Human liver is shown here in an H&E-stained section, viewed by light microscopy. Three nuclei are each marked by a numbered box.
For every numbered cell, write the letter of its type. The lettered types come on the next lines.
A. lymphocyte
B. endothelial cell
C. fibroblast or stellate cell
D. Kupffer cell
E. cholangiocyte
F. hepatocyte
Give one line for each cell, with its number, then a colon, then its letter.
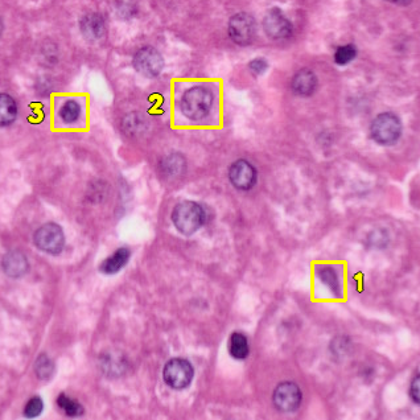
1: D
2: F
3: A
